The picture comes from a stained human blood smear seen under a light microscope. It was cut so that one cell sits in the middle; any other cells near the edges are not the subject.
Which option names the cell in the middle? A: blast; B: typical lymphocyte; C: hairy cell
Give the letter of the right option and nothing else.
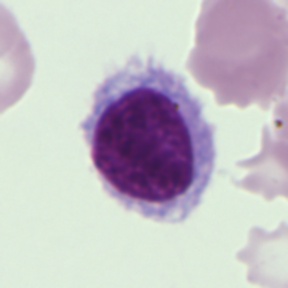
C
